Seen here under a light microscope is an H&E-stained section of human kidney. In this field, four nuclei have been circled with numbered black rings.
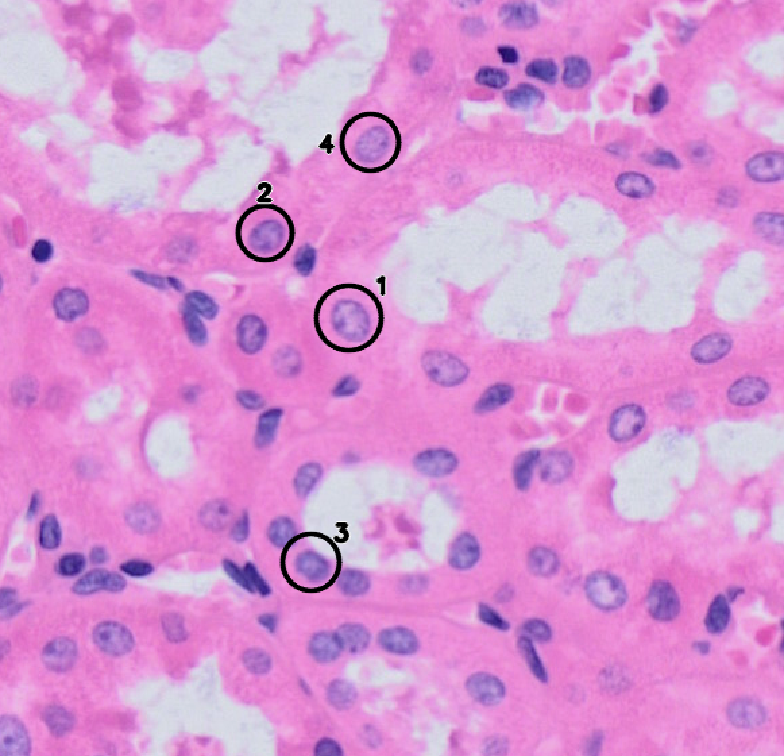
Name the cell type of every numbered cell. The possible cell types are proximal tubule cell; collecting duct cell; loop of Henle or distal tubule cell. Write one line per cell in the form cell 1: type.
cell 1: proximal tubule cell
cell 2: proximal tubule cell
cell 3: loop of Henle or distal tubule cell
cell 4: proximal tubule cell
